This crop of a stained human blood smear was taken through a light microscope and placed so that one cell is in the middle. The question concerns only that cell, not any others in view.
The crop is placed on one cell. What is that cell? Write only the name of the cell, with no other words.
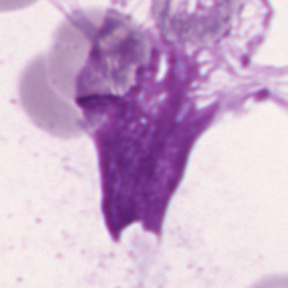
smudge cell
